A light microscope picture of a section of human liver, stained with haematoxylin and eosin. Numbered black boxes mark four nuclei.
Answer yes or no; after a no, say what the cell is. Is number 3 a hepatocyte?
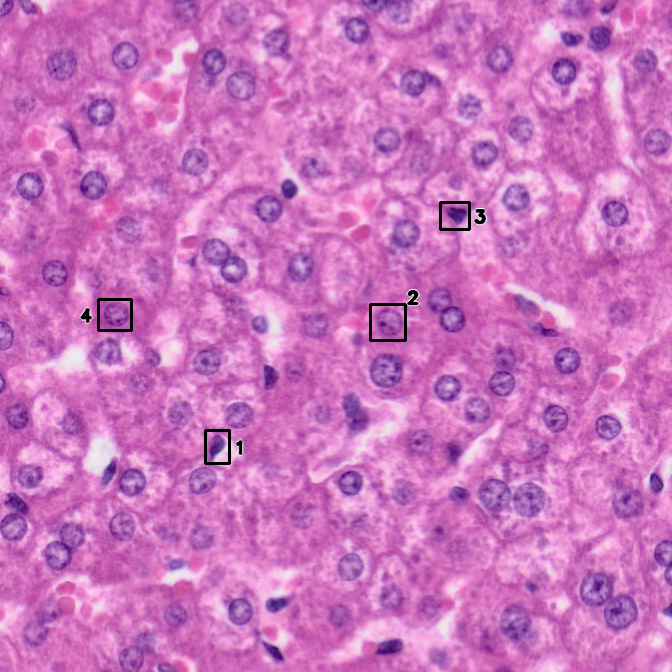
No, it is a fibroblast or stellate cell.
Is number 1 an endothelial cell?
Yes.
